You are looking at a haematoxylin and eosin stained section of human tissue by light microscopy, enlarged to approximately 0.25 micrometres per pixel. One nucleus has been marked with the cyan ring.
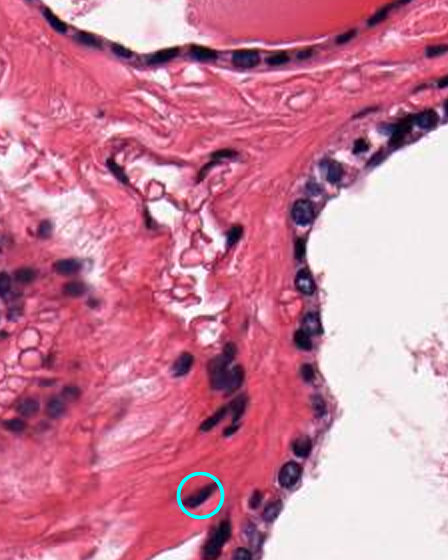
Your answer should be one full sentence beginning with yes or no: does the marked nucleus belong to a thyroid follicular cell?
No, the nucleus that is marked belongs to a supporting cell rather than to a thyroid follicular cell.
